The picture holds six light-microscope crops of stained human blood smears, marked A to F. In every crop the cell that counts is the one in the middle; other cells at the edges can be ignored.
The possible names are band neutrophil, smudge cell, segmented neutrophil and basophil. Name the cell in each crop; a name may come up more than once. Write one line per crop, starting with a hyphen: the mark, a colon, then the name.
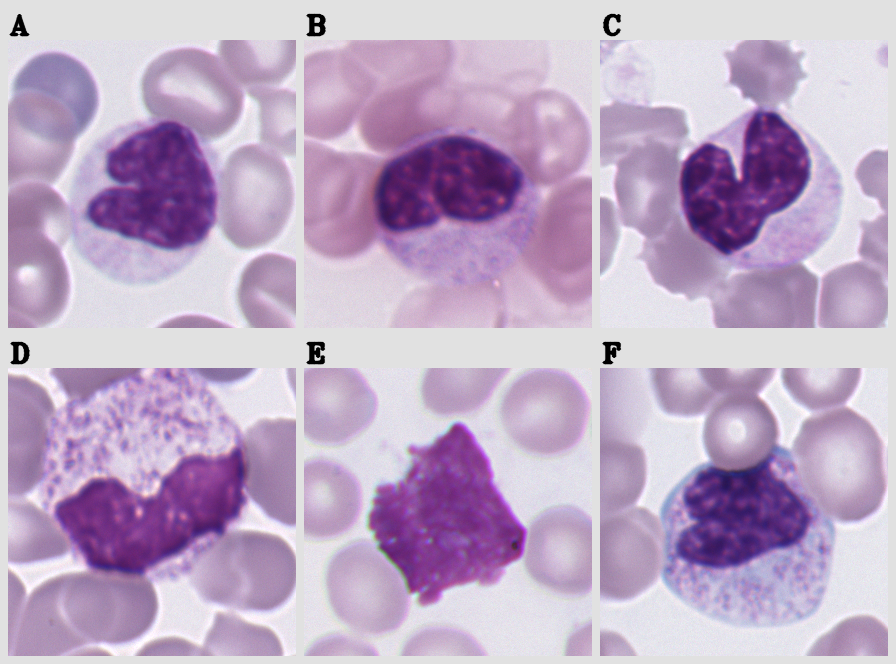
- A: segmented neutrophil
- B: band neutrophil
- C: band neutrophil
- D: band neutrophil
- E: smudge cell
- F: band neutrophil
